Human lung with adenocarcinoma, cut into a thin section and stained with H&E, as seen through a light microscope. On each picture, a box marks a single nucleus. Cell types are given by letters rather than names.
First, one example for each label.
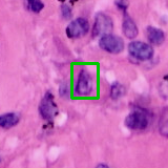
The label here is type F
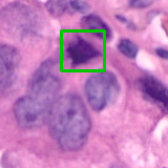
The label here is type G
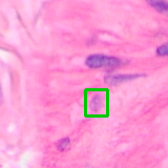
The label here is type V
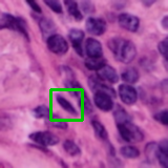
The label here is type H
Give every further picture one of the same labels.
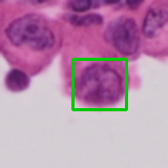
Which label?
type G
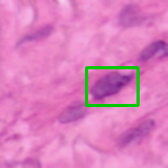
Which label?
type V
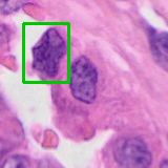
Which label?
type G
